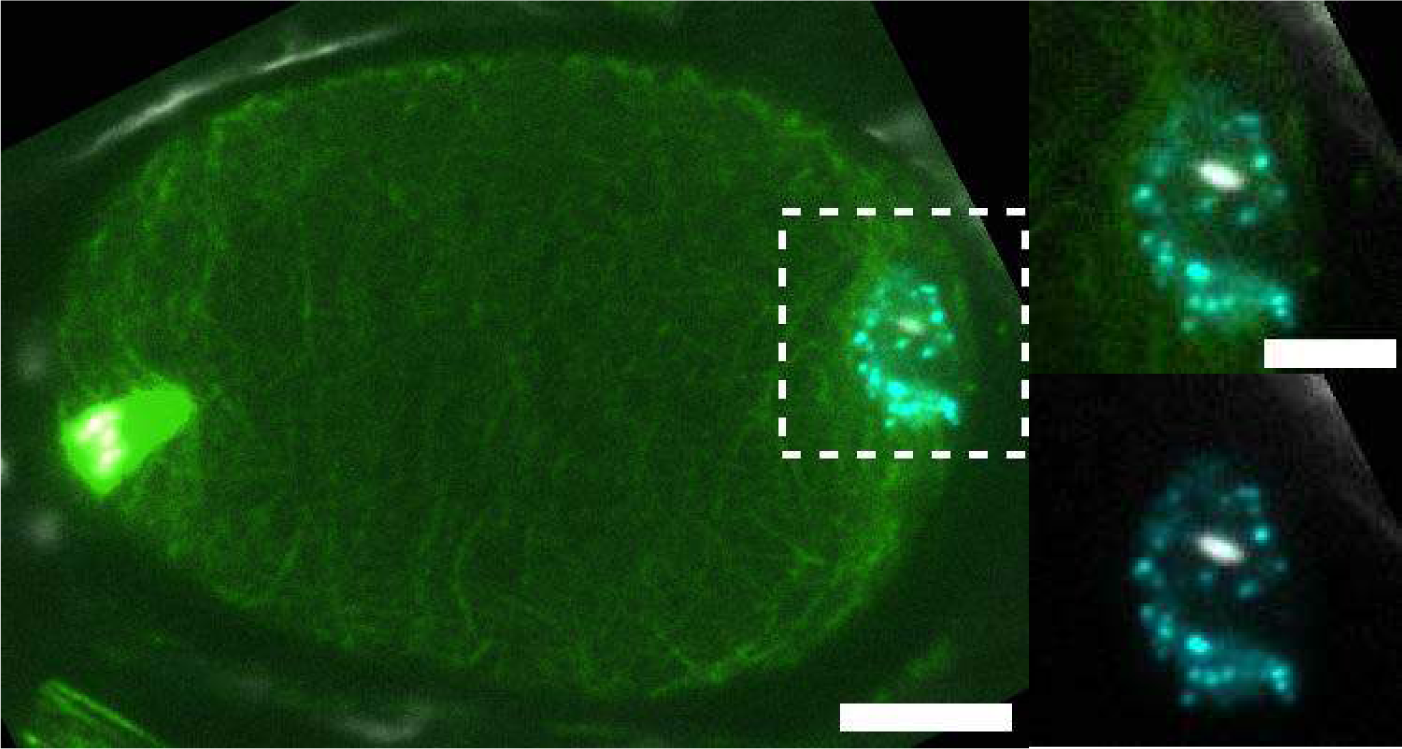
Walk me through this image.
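At the right end, inside the dashed box, lies a single small oval white body. The inset shows this cluster enlarged, with the white body sitting in its midst.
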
